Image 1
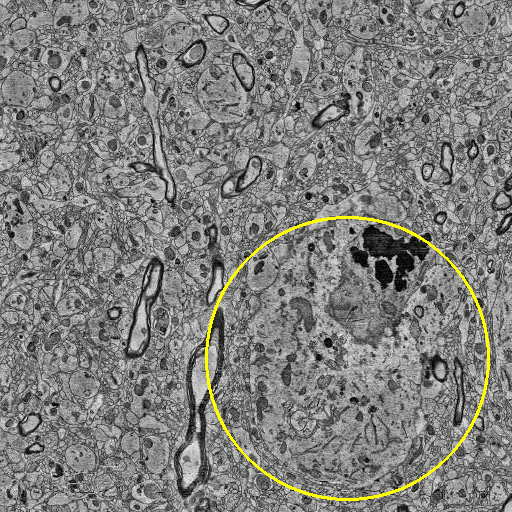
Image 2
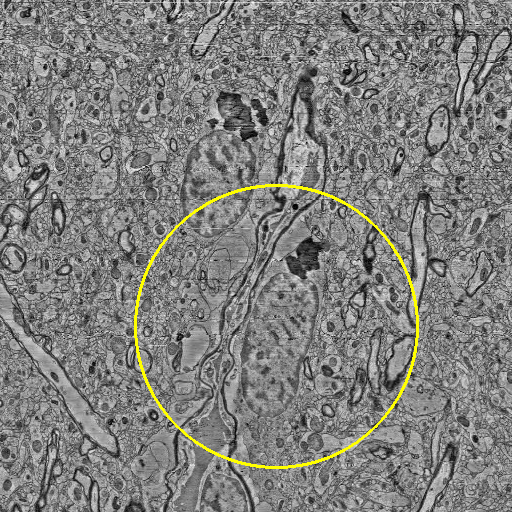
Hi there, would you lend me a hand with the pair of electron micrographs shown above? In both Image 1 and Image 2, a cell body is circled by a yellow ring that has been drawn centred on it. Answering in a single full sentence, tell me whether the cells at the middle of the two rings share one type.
Yes, the ringed cells in Image 1 and Image 2 share one type.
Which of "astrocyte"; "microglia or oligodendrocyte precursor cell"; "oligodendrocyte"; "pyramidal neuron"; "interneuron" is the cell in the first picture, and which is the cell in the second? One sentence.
Each of the two rings is centred on an oligodendrocyte.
